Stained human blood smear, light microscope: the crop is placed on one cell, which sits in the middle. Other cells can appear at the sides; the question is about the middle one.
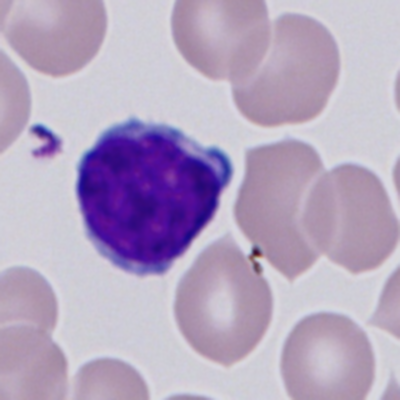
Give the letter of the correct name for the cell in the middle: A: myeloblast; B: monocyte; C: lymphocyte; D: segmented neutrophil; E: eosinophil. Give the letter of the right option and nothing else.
C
